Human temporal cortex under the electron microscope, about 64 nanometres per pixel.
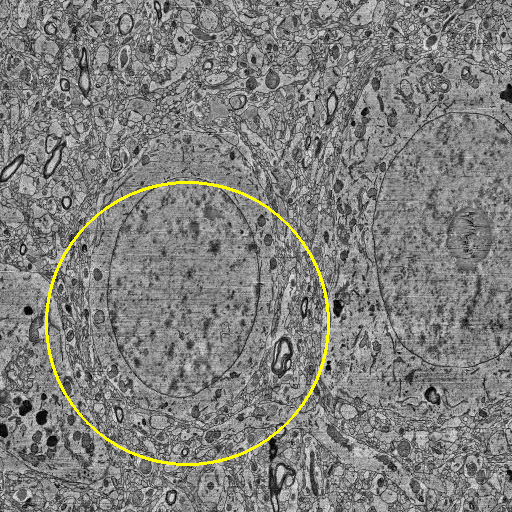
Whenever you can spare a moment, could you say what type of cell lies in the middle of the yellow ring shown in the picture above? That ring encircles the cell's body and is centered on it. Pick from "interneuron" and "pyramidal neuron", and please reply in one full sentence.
The cell whose body sits at the middle of the yellow ring is a pyramidal neuron.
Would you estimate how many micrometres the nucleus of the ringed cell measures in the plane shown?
Clearly longer than it is wide in this plane, the nucleus measures roughly 15 by 10 micrometres.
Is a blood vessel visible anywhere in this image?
No.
